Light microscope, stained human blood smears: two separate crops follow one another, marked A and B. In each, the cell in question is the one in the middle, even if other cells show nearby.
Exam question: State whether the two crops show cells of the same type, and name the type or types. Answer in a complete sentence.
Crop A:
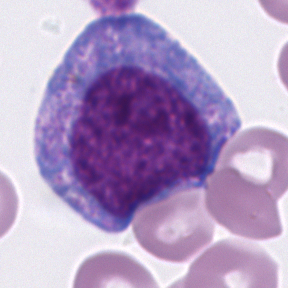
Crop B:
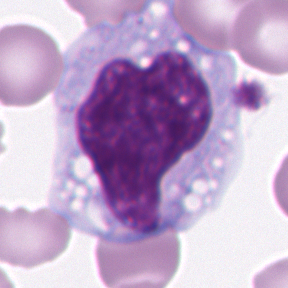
No, crop A shows a promyelocyte, whereas in crop B the cell is a monocyte.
